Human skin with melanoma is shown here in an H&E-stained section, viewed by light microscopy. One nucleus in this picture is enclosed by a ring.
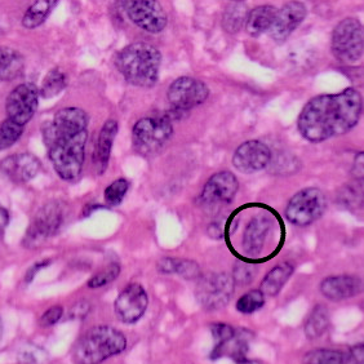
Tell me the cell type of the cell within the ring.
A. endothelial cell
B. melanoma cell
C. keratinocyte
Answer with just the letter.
B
